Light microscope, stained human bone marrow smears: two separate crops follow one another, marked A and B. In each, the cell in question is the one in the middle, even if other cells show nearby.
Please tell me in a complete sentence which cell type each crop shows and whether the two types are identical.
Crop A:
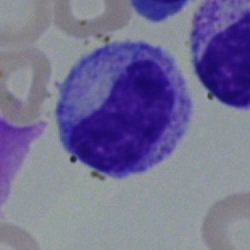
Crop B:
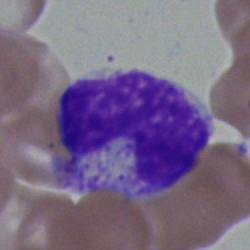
Yes, both crops contain metamyelocytes at their centres.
